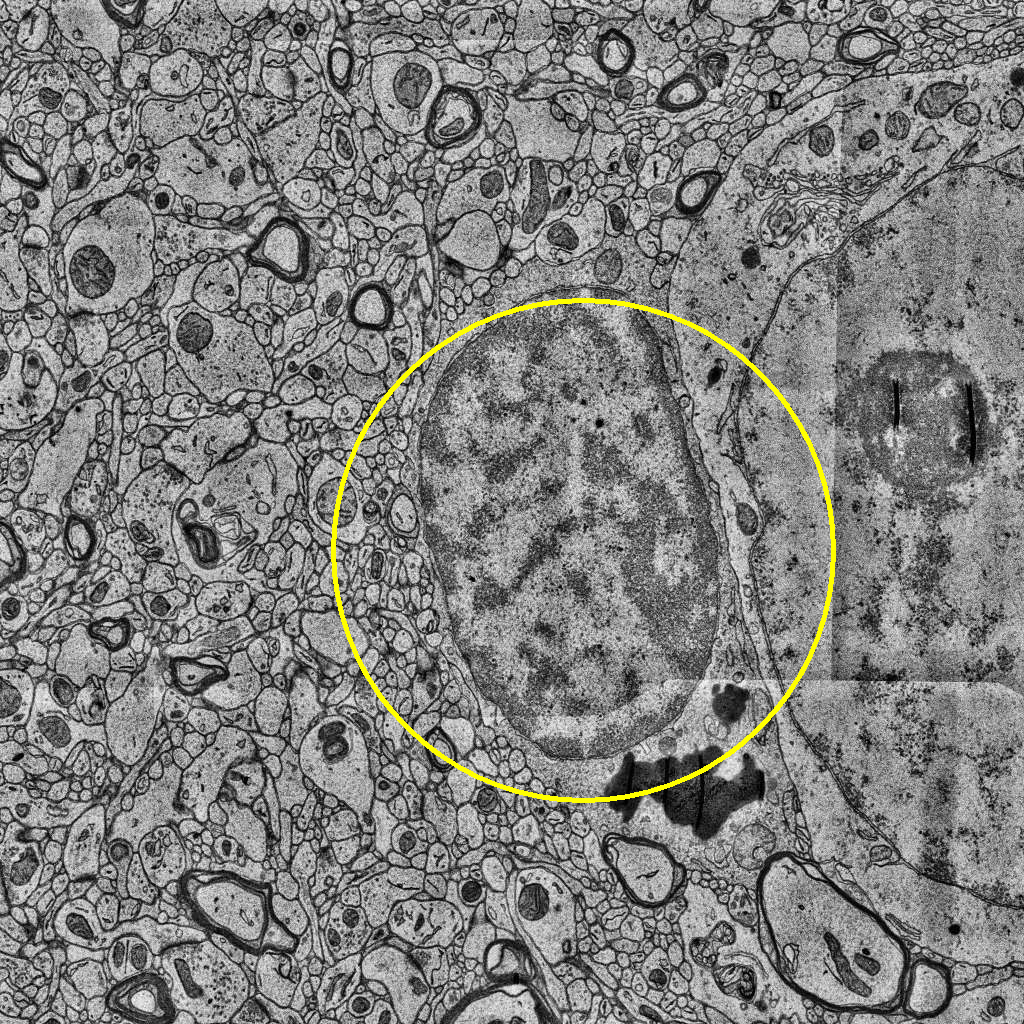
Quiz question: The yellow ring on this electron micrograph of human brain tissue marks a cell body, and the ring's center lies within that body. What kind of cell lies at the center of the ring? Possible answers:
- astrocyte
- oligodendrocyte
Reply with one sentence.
The ring's center lies on an oligodendrocyte.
